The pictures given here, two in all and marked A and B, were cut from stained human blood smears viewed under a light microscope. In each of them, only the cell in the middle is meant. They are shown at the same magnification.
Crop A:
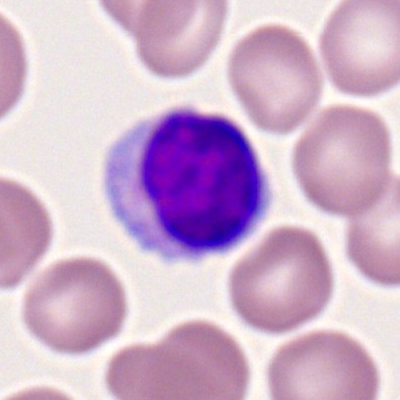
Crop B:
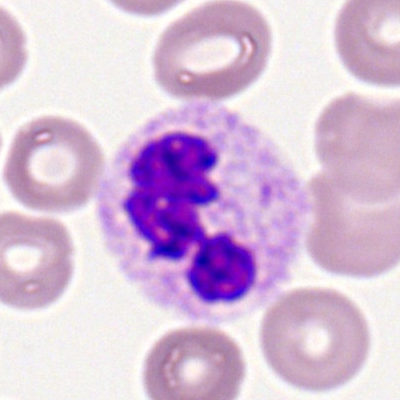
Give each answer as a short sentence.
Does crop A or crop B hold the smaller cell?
Smaller is the cell in crop A, and the other is about 2 times as large in area.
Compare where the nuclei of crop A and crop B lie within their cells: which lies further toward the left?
It is the nucleus in crop B that lies further toward the left of its cell.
